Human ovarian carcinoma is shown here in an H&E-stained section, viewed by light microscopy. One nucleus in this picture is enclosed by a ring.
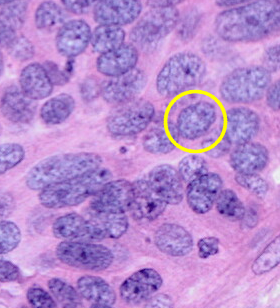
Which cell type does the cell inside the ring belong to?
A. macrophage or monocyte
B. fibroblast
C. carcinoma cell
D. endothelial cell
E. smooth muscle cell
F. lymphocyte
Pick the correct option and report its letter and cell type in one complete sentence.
Since the cell inside the ring is a carcinoma cell, the right option is C.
